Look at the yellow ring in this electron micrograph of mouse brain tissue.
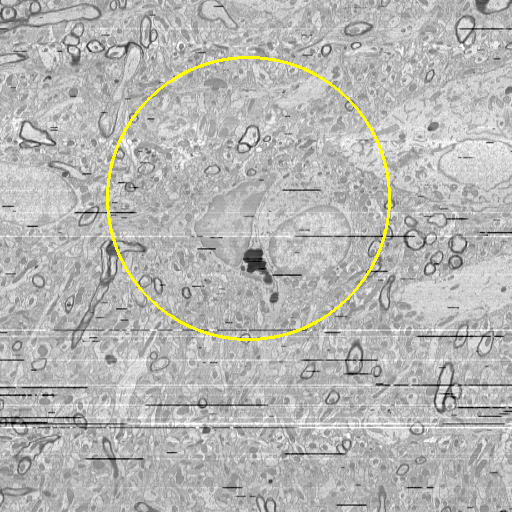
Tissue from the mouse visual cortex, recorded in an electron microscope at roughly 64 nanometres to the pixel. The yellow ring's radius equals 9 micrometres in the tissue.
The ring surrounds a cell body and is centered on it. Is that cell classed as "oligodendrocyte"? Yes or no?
No, it is of another kind.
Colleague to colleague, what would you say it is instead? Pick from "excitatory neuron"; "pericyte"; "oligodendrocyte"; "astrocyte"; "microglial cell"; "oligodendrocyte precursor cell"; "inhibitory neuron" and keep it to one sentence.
Instead, the ringed cell here is a microglial cell.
